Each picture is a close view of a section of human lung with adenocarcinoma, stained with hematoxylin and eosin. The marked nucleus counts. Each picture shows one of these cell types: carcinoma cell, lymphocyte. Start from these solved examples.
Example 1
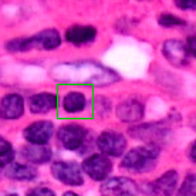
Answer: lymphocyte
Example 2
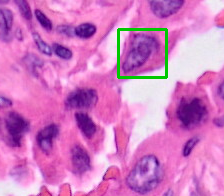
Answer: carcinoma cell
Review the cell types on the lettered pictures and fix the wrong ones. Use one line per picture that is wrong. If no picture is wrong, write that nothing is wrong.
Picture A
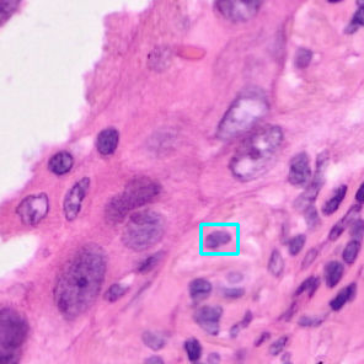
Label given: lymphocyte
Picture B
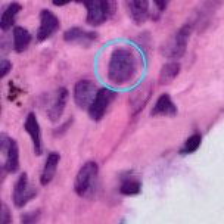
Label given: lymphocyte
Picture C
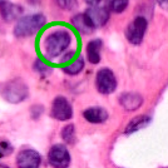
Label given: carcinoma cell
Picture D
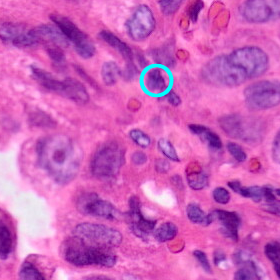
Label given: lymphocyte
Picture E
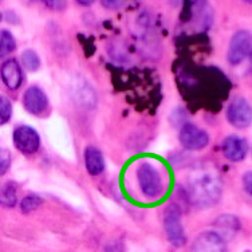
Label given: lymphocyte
C: lymphocyte, not carcinoma cell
